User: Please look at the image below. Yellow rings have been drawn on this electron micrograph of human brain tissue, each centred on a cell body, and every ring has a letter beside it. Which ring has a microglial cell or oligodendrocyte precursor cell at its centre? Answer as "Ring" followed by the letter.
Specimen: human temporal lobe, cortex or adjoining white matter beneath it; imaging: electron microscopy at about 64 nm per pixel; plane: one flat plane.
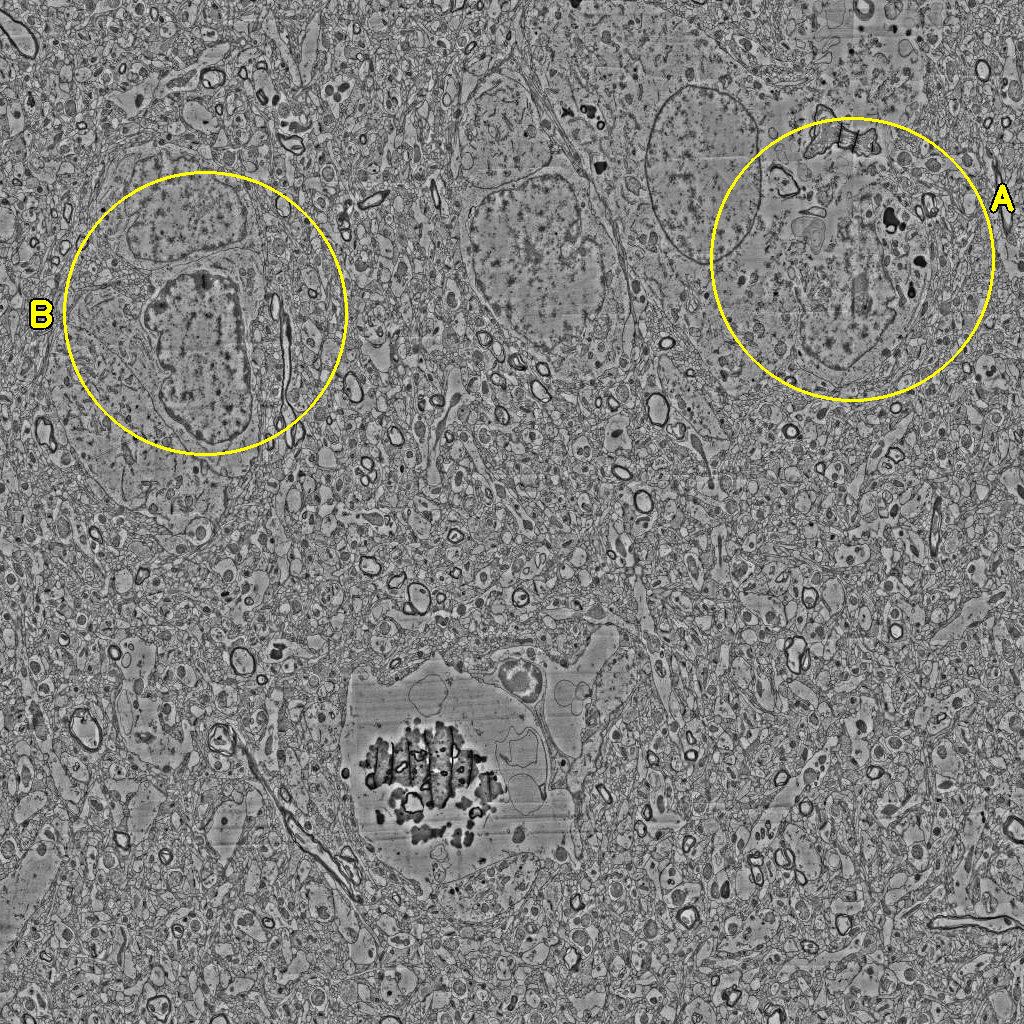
Ring B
